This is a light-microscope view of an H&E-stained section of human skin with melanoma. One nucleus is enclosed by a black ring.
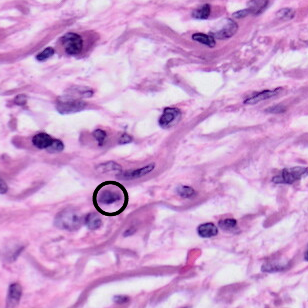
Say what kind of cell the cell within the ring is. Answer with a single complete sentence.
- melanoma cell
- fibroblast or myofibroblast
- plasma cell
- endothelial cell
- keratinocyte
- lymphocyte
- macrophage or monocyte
By cell type, the cell within the ring is a plasma cell.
